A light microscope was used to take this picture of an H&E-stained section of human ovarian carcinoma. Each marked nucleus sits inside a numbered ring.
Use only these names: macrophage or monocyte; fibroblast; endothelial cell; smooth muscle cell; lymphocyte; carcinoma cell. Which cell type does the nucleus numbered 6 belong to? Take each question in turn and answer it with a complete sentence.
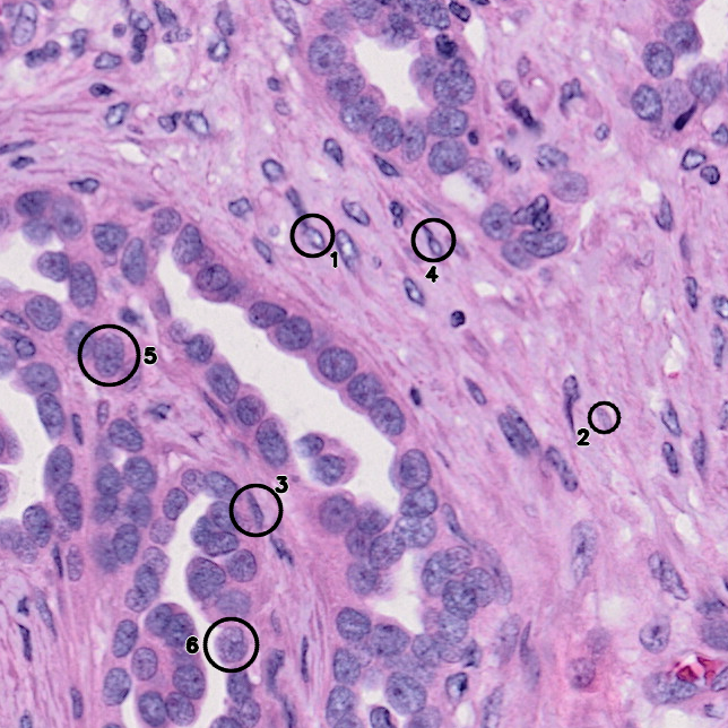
Number 6 among the marked cells is a carcinoma cell.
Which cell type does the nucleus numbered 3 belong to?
The cell indicated with the number 3 is classed as a fibroblast.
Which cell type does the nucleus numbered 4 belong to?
In the marked set, the cell given number 4 is a fibroblast.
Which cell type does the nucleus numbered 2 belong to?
As for number 2, that cell is a fibroblast.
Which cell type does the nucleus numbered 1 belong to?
The expected answer is that cell 1 is a fibroblast.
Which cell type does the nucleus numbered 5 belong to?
Belonging to a carcinoma cell is the nucleus that carries the number 5.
